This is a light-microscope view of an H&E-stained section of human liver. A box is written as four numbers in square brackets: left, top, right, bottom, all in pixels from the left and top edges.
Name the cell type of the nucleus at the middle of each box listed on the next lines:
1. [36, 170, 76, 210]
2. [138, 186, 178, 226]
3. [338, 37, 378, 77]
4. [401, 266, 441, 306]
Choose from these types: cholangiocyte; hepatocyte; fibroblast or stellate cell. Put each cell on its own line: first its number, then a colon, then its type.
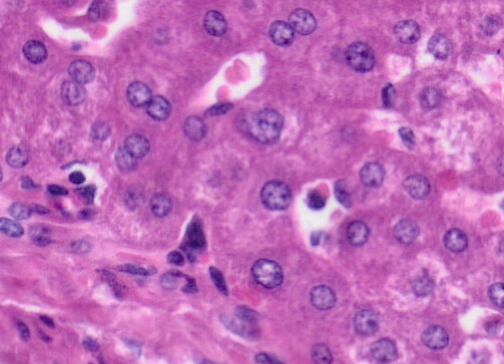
1: fibroblast or stellate cell
2: hepatocyte
3: hepatocyte
4: hepatocyte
